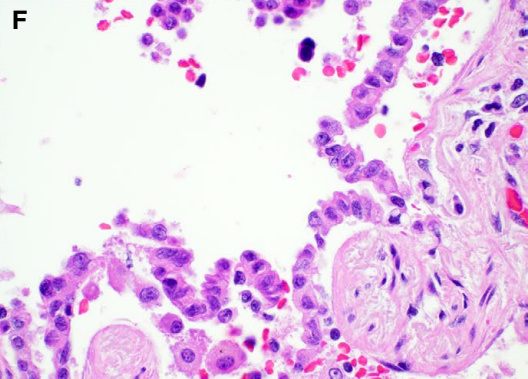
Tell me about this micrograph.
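Well-differentiated adenocarcinoma: cuboidal to columnar tumour cells in a single layer lining pink fibrous stromal cores and open air spaces. Nuclei are round to oval, fairly uniform, with fine chromatin and small nucleoli; some cells bulge into the lumen in a hobnail fashion. Cytoplasm is moderate and pink. The stromal cores contain spindle cells and small vessels. Red blood cells and a few detached cells float in the lumen.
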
